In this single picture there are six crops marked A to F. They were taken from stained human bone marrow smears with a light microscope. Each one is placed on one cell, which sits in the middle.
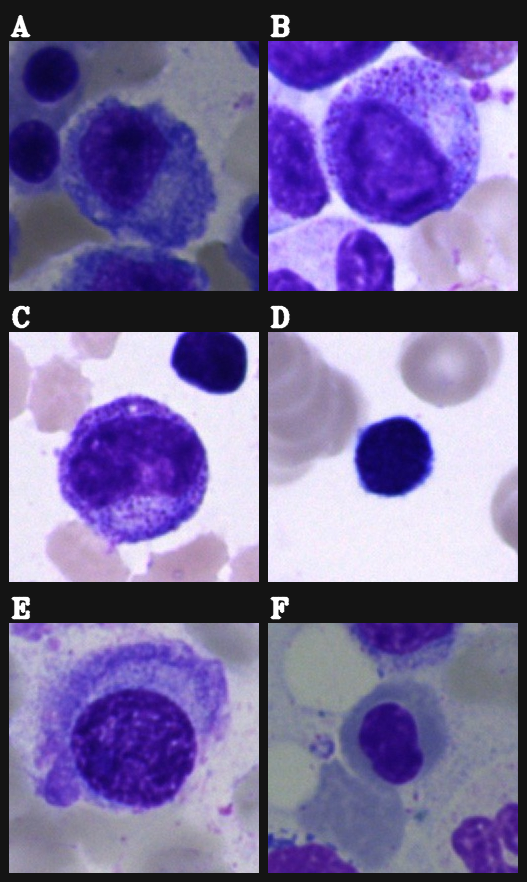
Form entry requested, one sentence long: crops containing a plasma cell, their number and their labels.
Crops A and E, which number two, show plasma cells.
